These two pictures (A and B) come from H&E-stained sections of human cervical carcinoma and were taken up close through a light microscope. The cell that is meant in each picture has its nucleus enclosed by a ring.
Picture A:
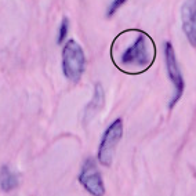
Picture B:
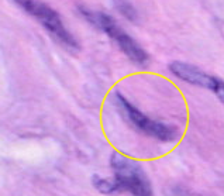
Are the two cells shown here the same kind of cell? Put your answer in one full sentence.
Yes; the cells in both pictures are fibroblasts.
